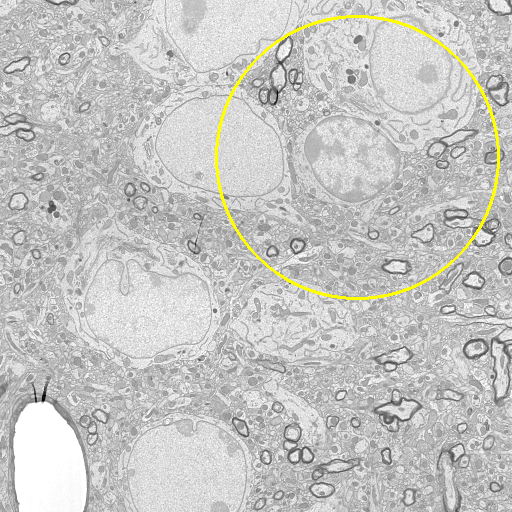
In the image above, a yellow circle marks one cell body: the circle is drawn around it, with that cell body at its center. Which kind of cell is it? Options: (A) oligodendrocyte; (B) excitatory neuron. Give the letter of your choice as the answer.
A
